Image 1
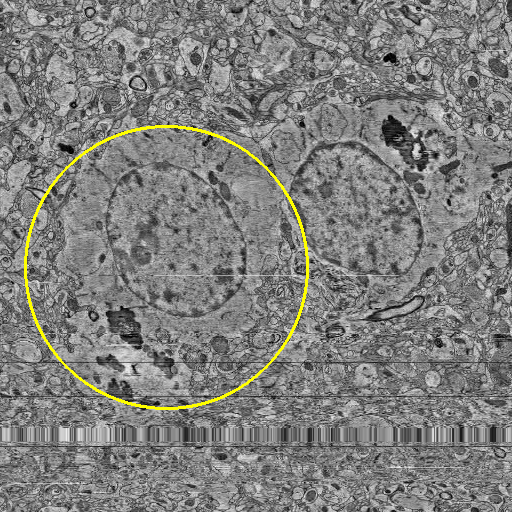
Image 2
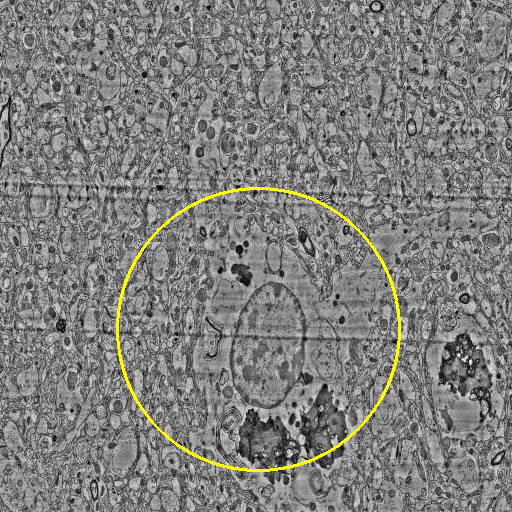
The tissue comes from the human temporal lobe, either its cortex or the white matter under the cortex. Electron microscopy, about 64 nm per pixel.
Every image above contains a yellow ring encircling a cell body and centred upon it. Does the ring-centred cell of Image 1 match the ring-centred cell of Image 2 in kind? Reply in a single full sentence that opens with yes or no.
Yes, the cell at the ring's centre in Image 1 is the same kind as that in Image 2.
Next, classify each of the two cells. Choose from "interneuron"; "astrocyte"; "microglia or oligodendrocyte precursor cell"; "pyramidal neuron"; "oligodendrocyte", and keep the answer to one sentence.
The first and the second cell are each an astrocyte.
